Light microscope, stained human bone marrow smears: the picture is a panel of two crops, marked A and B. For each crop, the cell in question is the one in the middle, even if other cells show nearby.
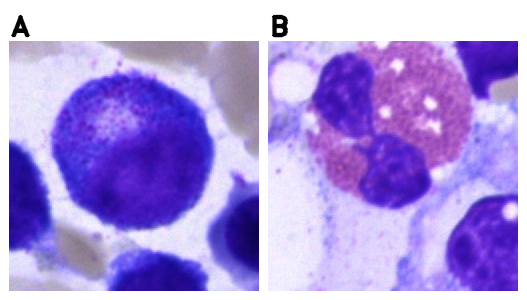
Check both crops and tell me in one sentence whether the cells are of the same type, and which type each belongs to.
No, crop A is home to a promyelocyte, and crop B to an eosinophil.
